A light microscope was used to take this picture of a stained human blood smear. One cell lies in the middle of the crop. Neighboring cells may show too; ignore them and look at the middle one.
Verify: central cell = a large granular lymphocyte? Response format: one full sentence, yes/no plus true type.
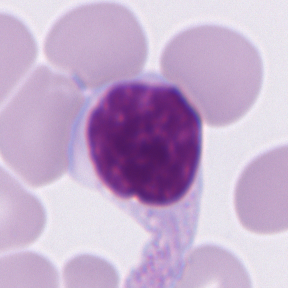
Yes, the cell in the middle is recognised as a large granular lymphocyte.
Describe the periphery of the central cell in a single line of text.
Instead of a smooth edge, this cell has an irregular one, ragged or with projections.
